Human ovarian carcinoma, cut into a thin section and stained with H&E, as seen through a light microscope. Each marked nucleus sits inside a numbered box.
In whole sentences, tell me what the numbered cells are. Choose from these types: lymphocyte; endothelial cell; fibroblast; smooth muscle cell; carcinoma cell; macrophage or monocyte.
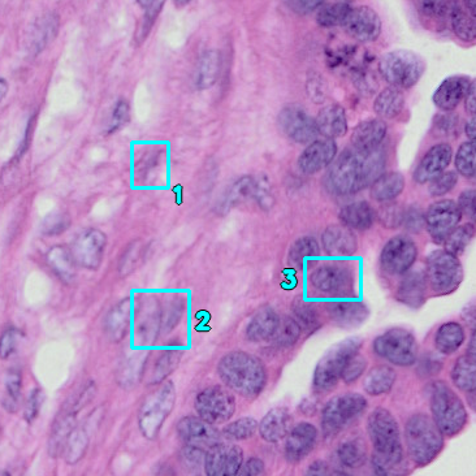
Cell 1 is a fibroblast, cell 2 is a fibroblast and cell 3 is a carcinoma cell.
